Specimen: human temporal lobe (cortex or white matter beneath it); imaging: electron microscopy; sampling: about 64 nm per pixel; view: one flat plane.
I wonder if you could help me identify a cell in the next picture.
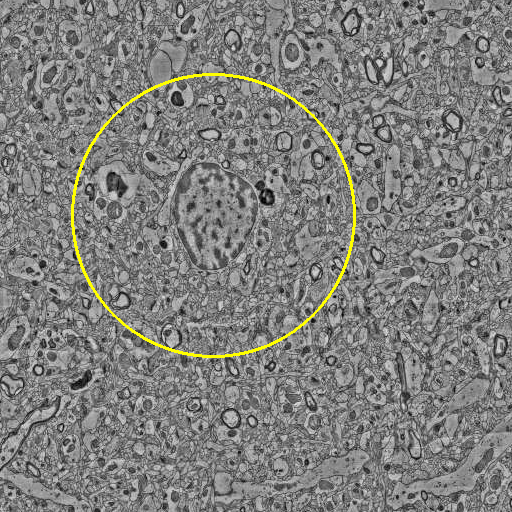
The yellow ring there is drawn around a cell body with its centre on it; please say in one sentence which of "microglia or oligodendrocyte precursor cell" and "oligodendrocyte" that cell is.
The yellow ring is centred on a microglial cell or oligodendrocyte precursor cell.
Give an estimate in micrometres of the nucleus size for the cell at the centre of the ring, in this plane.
Roughly 7 micrometres by 5 micrometres, in this plane.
